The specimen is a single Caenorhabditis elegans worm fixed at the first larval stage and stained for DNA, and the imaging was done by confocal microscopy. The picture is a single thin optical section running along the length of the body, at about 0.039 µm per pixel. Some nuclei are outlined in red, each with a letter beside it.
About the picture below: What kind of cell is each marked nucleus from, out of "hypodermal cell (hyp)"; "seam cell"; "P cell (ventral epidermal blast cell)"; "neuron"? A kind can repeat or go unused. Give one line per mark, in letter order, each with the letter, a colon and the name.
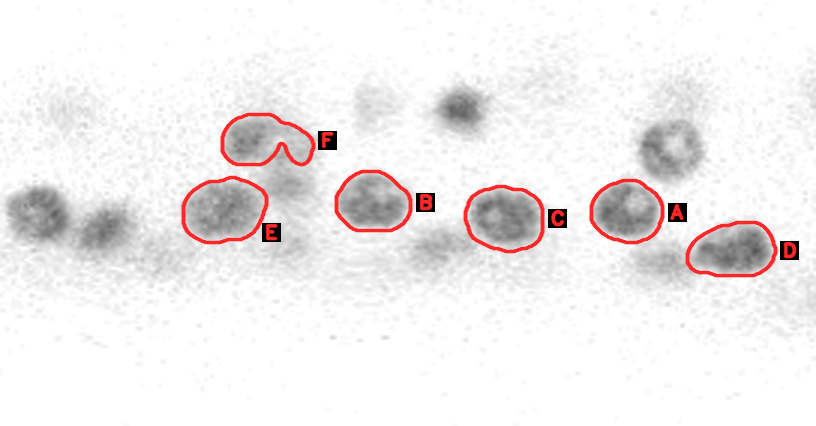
A: seam cell
B: seam cell
C: P cell (ventral epidermal blast cell)
D: P cell (ventral epidermal blast cell)
E: P cell (ventral epidermal blast cell)
F: hypodermal cell (hyp)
